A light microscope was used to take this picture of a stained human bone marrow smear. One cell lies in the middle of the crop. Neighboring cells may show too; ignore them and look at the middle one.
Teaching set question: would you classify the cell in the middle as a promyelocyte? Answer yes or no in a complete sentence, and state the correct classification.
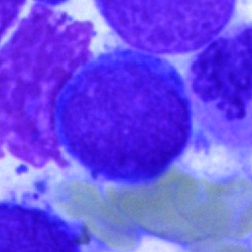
No, the cell at the center of this crop is a blast instead of a promyelocyte.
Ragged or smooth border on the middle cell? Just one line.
Smooth all around, the outline has no projections to report.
